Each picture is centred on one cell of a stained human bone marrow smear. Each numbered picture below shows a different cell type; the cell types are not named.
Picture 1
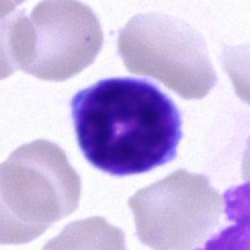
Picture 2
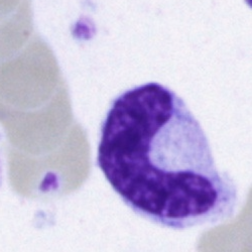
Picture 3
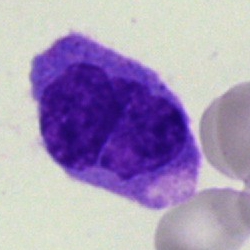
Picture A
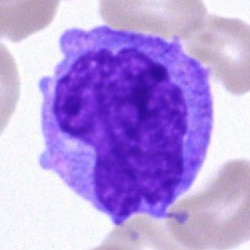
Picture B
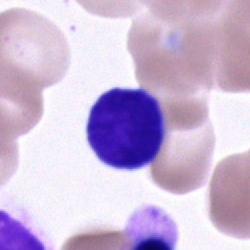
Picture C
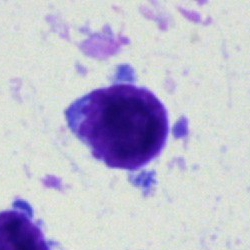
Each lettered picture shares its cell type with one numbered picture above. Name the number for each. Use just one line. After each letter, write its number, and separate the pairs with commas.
A 3, B 1, C 1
